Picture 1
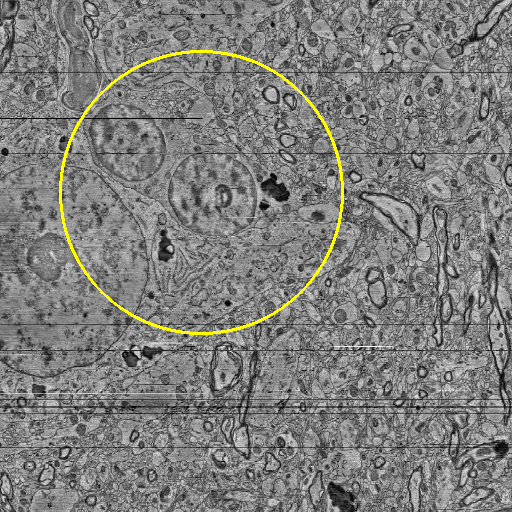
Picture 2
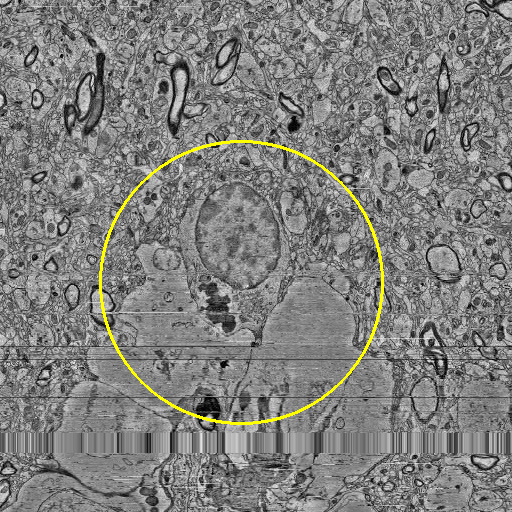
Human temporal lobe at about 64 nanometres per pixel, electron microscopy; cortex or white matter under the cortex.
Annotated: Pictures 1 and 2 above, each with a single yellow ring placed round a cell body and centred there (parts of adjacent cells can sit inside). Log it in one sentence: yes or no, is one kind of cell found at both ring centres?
Yes, the ring centres of the two pictures hold cells of one kind.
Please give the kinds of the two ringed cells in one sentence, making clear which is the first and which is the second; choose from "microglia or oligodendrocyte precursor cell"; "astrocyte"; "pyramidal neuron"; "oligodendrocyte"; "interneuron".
Both the first and the second picture show an oligodendrocyte in the ring.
